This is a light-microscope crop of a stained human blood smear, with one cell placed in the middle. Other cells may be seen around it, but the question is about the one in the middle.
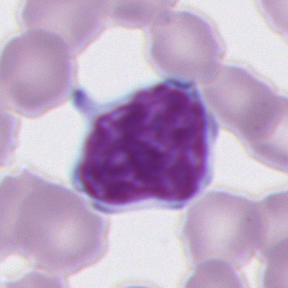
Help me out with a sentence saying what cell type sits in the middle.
The cell at the heart of this crop is a typical lymphocyte.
